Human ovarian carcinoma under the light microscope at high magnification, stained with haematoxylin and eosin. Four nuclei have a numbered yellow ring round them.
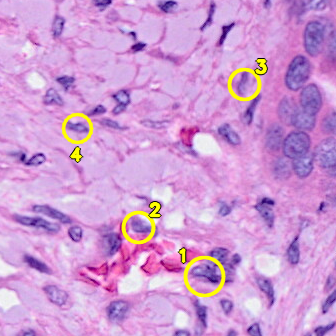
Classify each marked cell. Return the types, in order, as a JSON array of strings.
["endothelial cell", "endothelial cell", "fibroblast", "fibroblast"]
